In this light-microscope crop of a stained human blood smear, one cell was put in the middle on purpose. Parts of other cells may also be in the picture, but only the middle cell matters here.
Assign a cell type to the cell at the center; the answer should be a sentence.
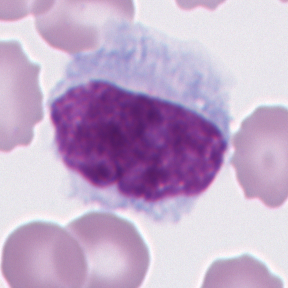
The single cell at the center of the crop is a hairy cell.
